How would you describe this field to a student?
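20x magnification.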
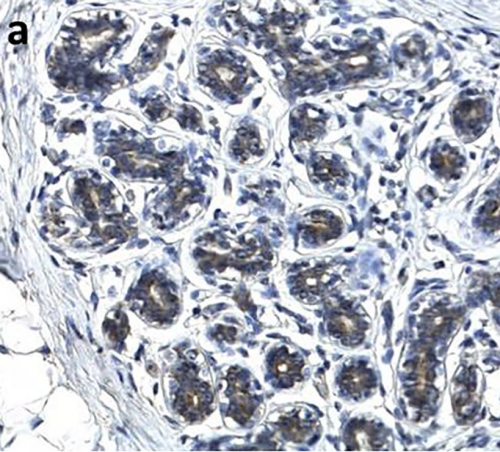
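A lobule of breast tissue is packed with many small, round to oval glandular units, each lined by a layer of cuboidal acinar cells around a tiny central lumen. The epithelial cells have dark blue nuclei and cytoplasm tinged light brown, the brown being strongest toward the lumina. A thin rim of flattened cells surrounds each unit, and loose stroma with scattered spindle-shaped nuclei lies between them, with fat cells at the edge. The arrangement is that of normal lobular acini.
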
